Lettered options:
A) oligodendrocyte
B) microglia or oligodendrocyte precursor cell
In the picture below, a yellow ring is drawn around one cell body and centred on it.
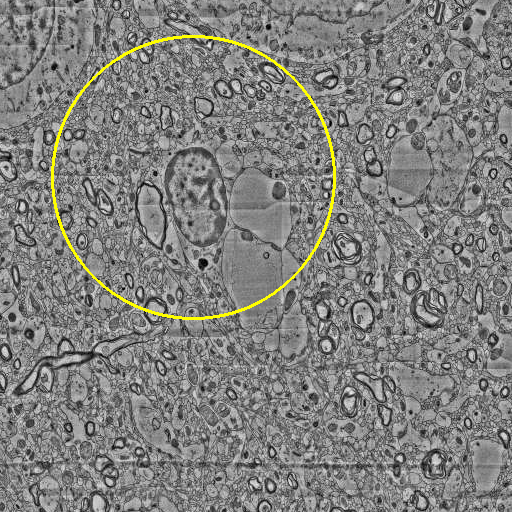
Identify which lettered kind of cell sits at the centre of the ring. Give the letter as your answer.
B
